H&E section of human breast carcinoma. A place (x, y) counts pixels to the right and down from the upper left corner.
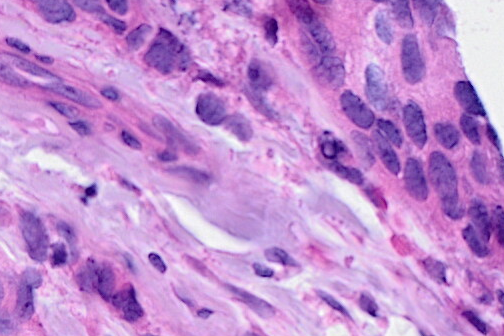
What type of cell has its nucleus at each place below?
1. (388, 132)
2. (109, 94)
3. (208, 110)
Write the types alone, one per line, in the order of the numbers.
carcinoma cell
endothelial cell
carcinoma cell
